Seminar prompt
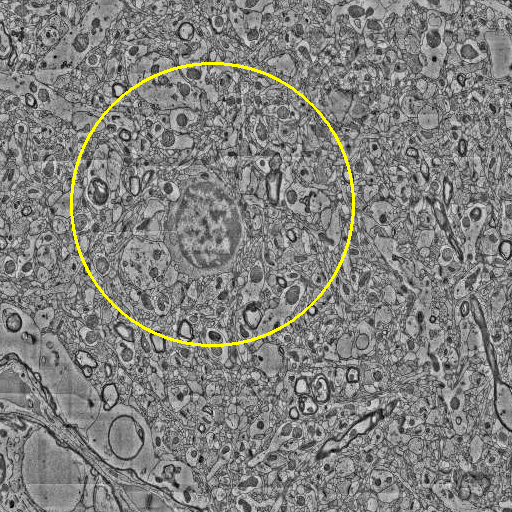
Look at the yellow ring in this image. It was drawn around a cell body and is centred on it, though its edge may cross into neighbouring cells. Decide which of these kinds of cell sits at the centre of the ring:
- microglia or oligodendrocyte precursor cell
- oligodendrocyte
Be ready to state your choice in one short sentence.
The kind of cell at the ring's centre is an oligodendrocyte.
